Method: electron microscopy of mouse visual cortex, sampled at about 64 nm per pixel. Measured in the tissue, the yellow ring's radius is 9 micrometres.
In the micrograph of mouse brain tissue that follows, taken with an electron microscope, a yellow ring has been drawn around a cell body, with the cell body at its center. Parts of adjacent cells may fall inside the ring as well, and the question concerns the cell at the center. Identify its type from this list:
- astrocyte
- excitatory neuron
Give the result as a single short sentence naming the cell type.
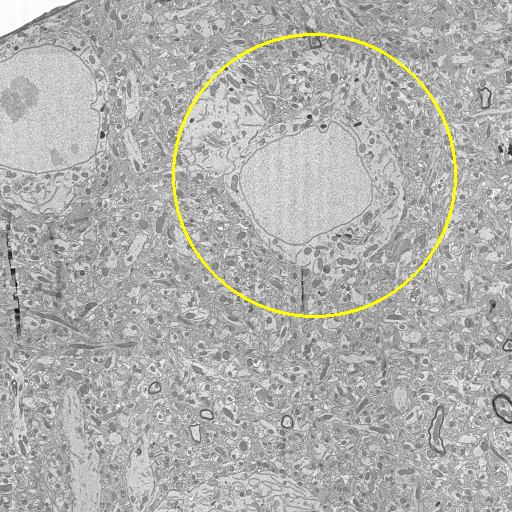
The ring is centered on an excitatory neuron.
